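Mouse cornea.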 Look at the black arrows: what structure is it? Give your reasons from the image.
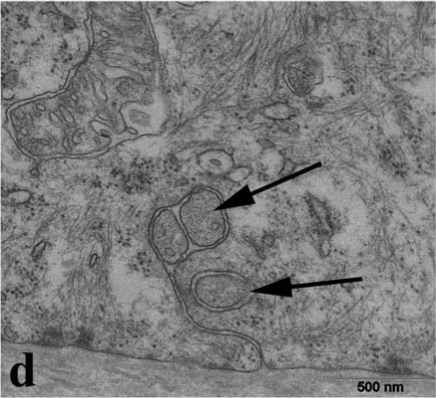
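Axons. The arrows point to round profiles bounded by membranes. These profiles are enclosed by cytoplasm of a surrounding cell.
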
